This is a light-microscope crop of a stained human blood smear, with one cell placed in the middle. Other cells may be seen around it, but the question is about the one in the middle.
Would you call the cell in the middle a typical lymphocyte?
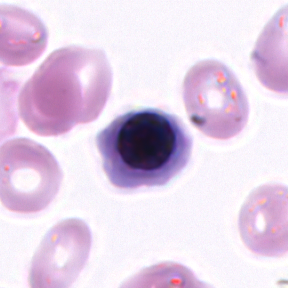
no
